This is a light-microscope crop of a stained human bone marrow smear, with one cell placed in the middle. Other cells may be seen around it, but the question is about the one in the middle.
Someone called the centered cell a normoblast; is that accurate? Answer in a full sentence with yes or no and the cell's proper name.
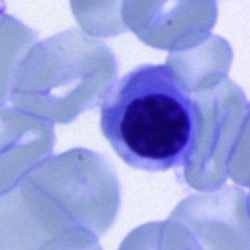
Yes, what sits in the centre of the crop is a normoblast.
